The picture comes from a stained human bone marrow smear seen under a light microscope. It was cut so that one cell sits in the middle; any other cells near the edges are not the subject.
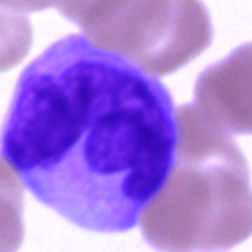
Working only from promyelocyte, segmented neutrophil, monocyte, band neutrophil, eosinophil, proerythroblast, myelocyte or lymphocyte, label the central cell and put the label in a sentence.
As for the cell in the middle, it is a monocyte.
